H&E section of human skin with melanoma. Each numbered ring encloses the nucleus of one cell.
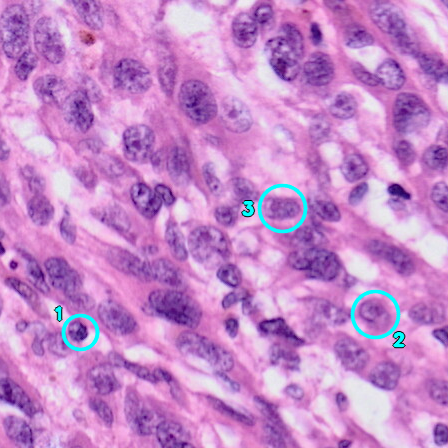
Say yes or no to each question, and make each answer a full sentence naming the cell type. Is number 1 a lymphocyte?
Yes, the cell corresponding to number 1 is a lymphocyte.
